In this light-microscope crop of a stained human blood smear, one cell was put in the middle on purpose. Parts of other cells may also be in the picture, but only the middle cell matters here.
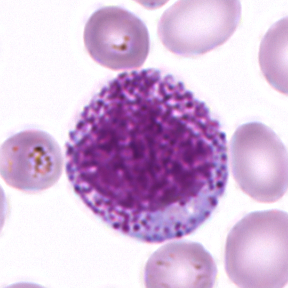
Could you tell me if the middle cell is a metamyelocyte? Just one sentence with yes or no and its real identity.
No, wrong label: the middle cell is a myelocyte instead of a metamyelocyte.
